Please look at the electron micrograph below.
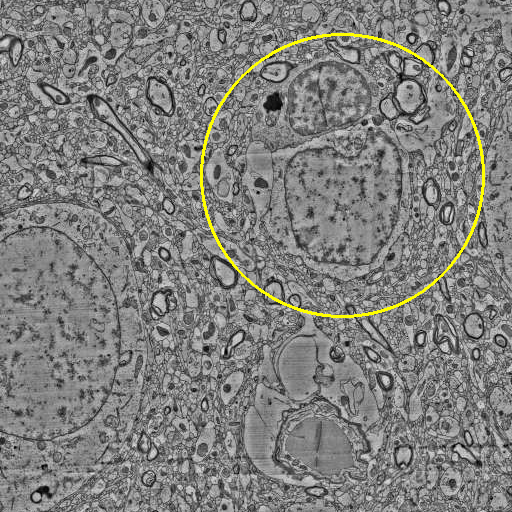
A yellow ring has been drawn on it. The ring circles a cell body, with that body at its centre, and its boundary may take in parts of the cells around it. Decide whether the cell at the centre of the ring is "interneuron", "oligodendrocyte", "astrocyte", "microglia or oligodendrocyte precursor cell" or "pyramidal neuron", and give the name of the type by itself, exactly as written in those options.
interneuron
